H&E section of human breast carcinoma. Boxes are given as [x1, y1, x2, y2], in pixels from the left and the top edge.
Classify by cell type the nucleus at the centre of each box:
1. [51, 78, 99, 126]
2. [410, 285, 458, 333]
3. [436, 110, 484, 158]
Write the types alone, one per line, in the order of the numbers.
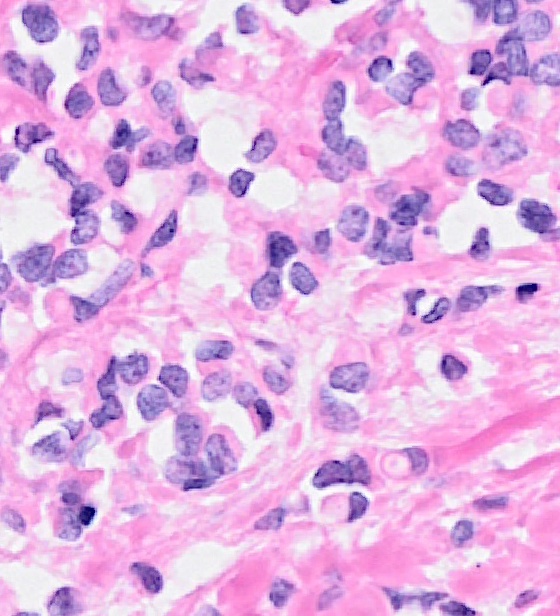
carcinoma cell
endothelial cell
carcinoma cell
